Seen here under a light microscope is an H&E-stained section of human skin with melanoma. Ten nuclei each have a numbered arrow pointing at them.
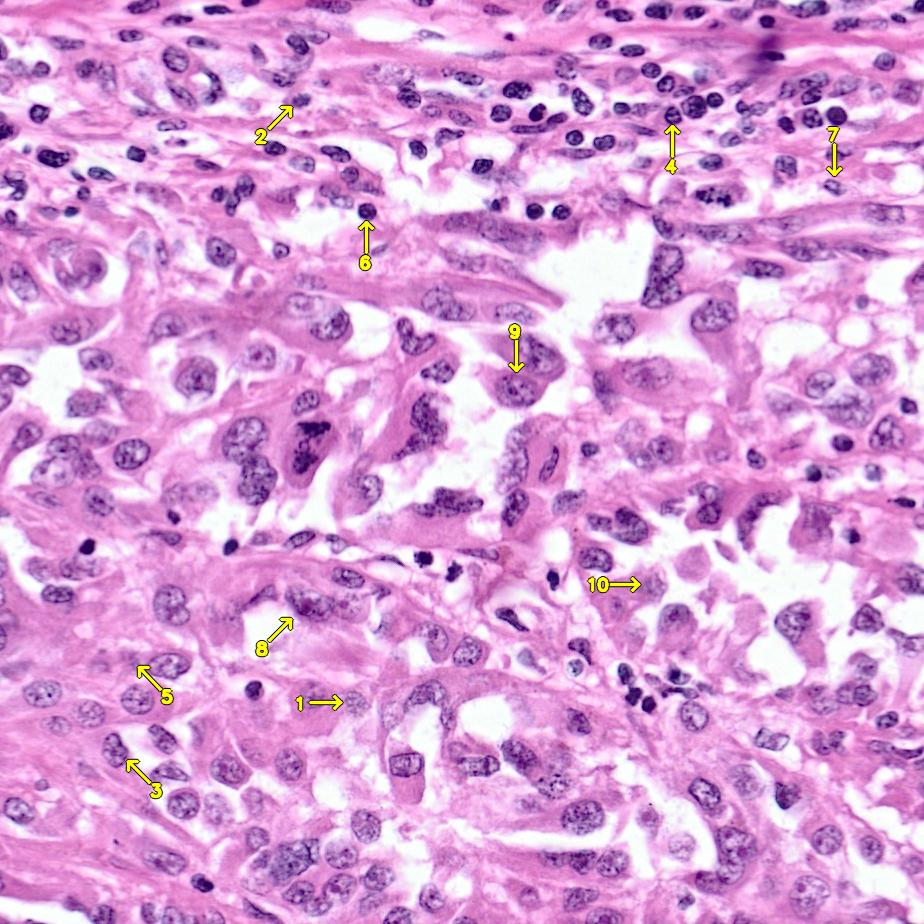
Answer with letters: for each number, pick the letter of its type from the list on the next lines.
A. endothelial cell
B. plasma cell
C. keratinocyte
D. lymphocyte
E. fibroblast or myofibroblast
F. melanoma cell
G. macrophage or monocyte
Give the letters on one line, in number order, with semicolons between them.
F; B; F; B; F; D; D; F; F; F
